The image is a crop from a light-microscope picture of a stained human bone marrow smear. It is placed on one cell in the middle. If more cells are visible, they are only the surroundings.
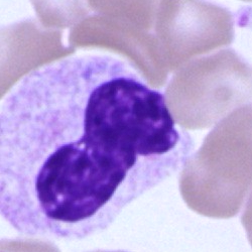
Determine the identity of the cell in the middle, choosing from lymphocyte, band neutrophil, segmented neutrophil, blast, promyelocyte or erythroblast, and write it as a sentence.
The center cell of this crop is a band neutrophil.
